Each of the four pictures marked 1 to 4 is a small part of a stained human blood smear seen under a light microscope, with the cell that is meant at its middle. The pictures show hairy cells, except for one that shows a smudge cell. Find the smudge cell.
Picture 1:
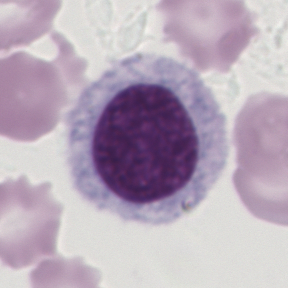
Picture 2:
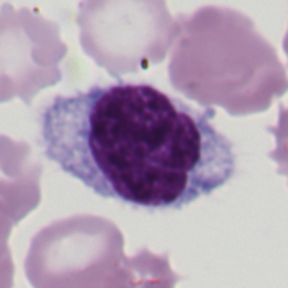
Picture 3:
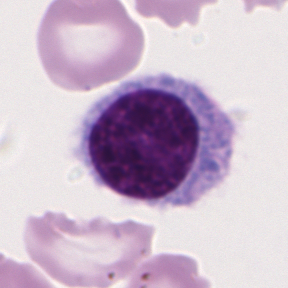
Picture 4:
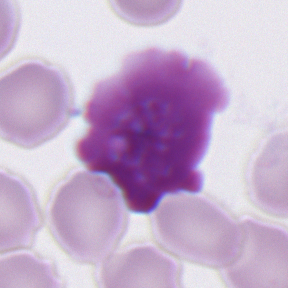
4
